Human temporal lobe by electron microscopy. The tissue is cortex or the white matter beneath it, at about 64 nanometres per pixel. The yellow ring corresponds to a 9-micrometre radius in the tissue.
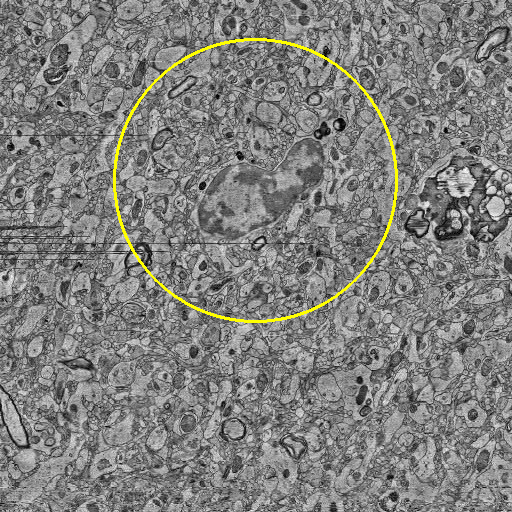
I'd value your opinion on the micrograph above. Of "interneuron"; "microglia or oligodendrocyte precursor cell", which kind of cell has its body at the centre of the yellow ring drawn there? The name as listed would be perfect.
microglia or oligodendrocyte precursor cell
